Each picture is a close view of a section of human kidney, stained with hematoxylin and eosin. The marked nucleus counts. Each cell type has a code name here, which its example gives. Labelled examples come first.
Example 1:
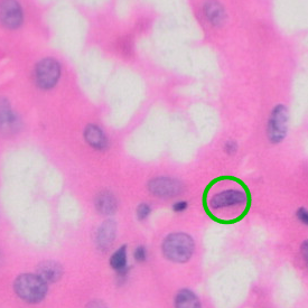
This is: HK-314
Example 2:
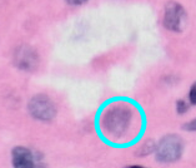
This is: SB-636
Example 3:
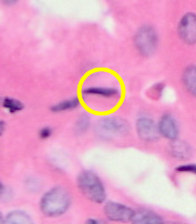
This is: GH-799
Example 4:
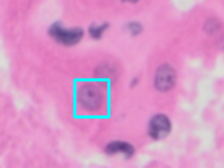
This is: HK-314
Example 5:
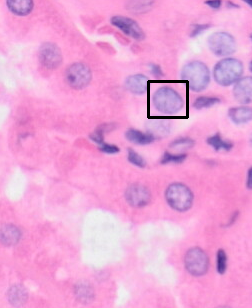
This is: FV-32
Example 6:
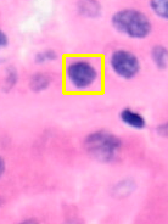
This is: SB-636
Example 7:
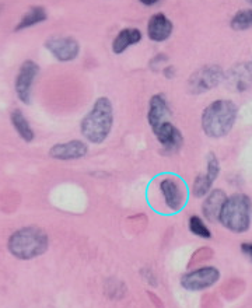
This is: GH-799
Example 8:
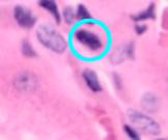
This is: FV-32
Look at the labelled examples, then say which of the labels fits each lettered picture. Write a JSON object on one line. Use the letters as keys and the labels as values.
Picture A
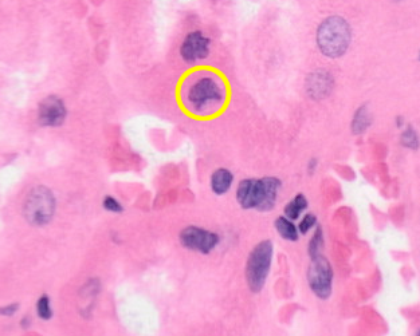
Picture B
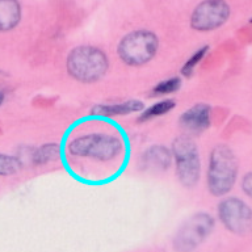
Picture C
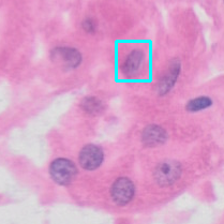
{"A": "HK-314", "B": "FV-32", "C": "HK-314"}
